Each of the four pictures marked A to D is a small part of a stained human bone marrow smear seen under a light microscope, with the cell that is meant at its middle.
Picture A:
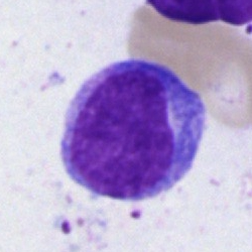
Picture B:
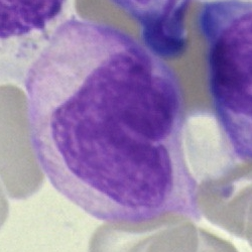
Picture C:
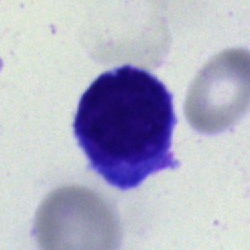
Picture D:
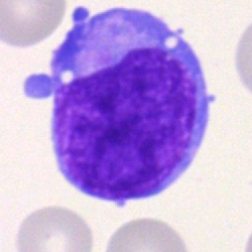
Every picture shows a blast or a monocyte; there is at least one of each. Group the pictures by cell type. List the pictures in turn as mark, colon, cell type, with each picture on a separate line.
A: blast
B: monocyte
C: blast
D: blast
